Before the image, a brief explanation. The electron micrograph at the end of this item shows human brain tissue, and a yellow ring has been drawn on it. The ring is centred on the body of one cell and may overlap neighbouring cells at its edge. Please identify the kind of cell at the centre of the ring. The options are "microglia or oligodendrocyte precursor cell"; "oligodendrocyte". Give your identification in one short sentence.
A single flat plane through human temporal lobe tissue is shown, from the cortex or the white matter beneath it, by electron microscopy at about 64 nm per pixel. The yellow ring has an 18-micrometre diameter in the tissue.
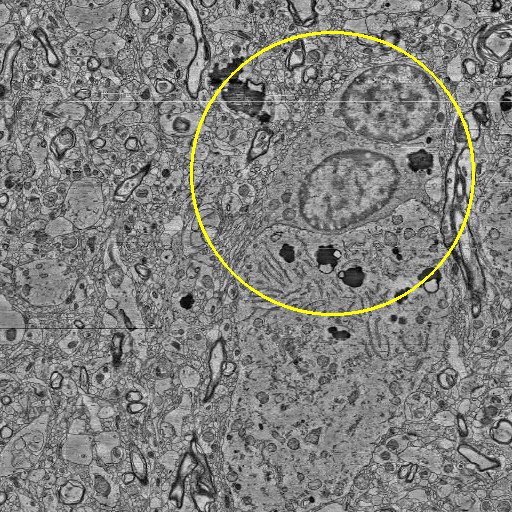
The ring has been placed around an oligodendrocyte.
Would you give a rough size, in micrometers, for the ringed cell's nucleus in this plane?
About 7 by 5 micrometres in this plane.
